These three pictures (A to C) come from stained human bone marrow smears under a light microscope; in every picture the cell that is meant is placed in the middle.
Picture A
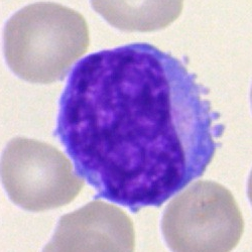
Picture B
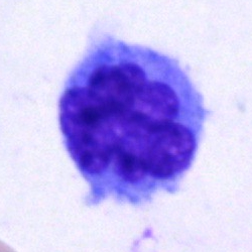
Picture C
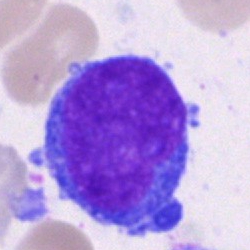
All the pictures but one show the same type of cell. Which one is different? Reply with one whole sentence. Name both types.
Picture B differs, because its cell is a monocyte and the rest are blasts.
